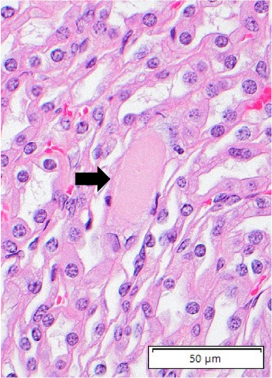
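This is renal papilla with elongated papillary tubules running in parallel, lined by cuboidal to flattened epithelial cells with round purple nuclei and pale pink cytoplasm. One tubule lumen is filled by a hyaline cast, a smooth, glassy, pale pink oval mass without nuclei. The surrounding tubules have open, clear lumens, and a few red blood cells lie in the narrow spaces between tubules.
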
